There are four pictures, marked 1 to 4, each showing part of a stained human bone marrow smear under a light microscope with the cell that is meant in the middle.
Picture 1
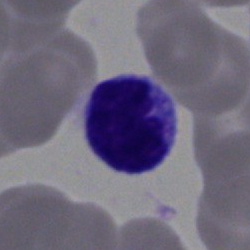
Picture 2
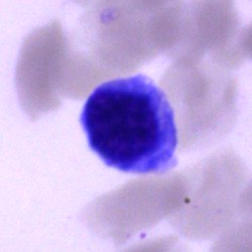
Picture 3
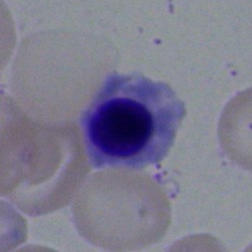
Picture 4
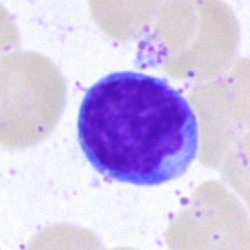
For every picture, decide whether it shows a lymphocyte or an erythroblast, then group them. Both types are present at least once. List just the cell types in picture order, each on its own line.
lymphocyte
lymphocyte
erythroblast
lymphocyte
